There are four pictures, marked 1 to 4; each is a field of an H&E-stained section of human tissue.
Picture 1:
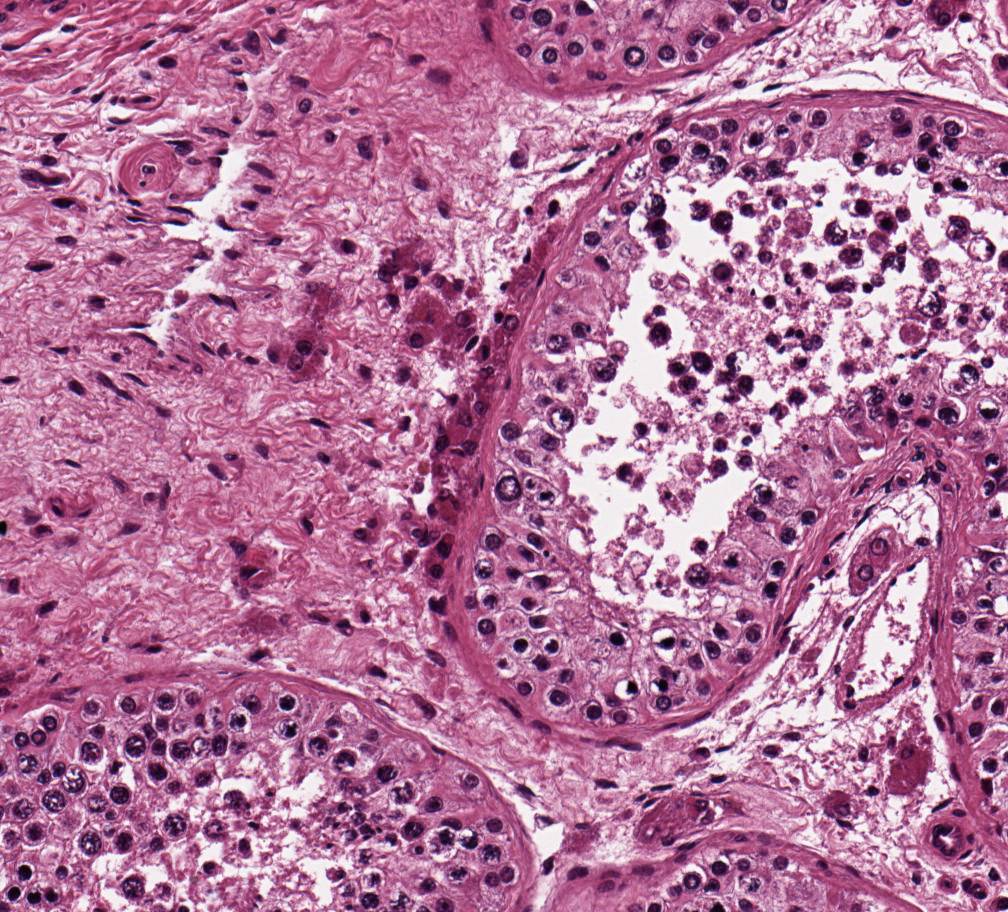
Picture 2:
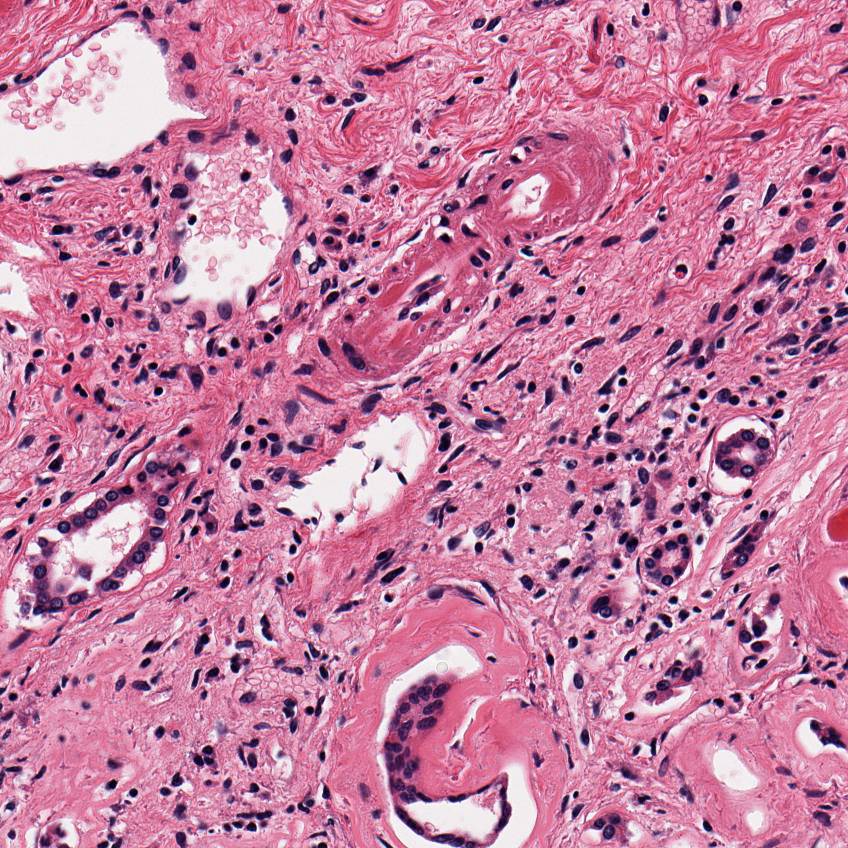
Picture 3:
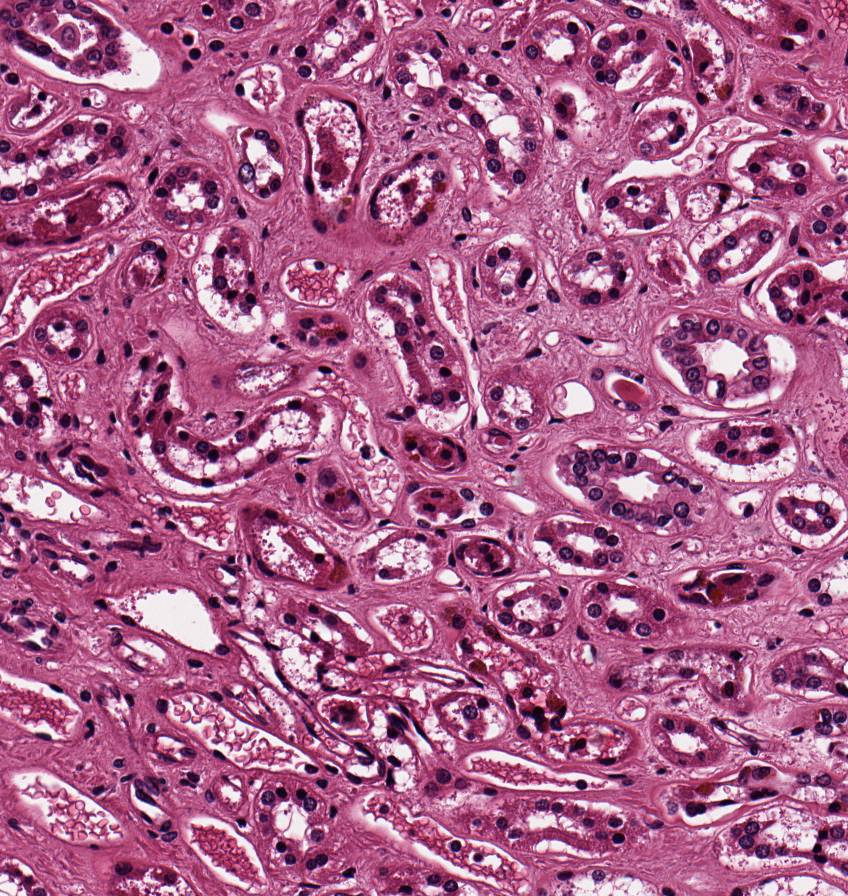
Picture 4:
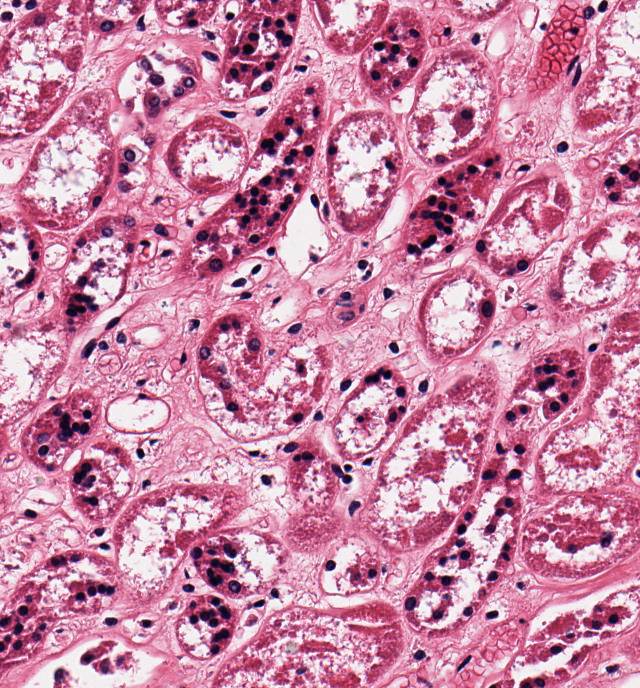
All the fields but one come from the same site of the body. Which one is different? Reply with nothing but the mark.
1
